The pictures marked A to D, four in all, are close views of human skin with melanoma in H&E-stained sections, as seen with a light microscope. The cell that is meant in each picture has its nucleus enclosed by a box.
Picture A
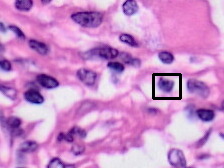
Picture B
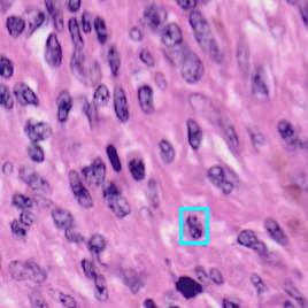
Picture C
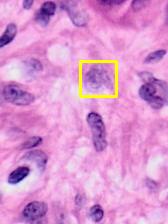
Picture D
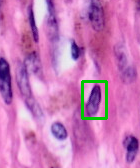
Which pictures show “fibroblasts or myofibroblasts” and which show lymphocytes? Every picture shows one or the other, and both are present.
A: lymphocyte
B: lymphocyte
C: fibroblast or myofibroblast
D: lymphocyte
